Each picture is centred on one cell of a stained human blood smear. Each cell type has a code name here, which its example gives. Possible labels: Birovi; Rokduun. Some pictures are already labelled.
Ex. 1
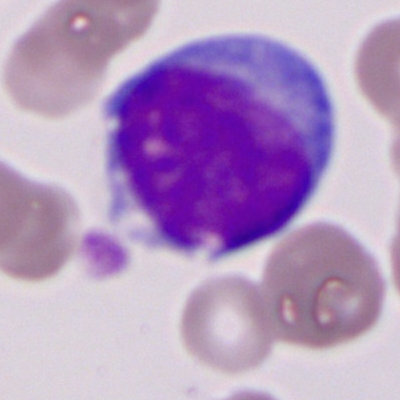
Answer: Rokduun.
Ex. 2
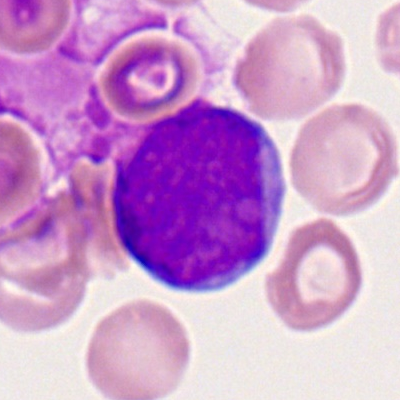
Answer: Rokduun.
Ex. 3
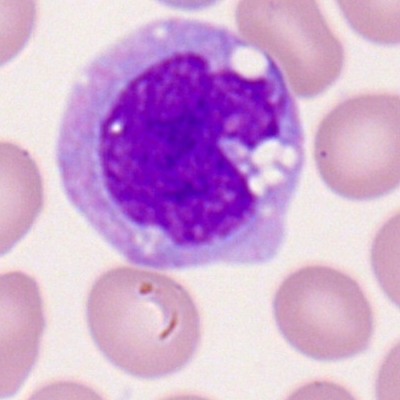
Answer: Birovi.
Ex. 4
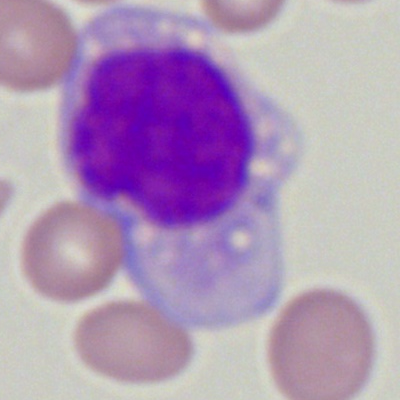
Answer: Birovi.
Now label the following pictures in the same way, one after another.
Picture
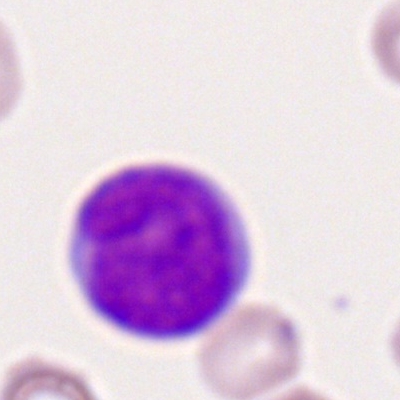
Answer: Rokduun.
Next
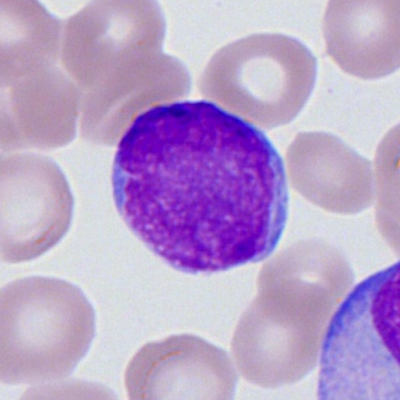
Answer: Rokduun.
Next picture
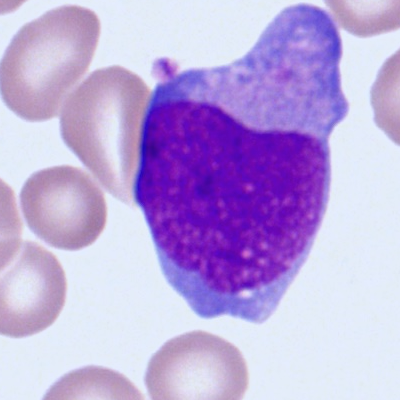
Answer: Rokduun.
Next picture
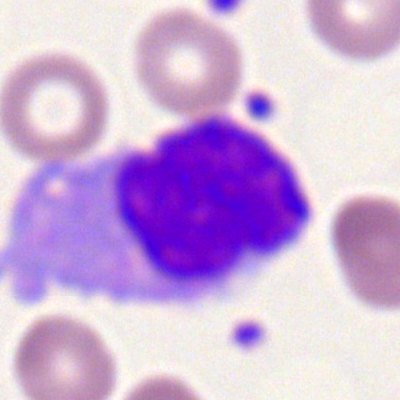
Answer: Birovi.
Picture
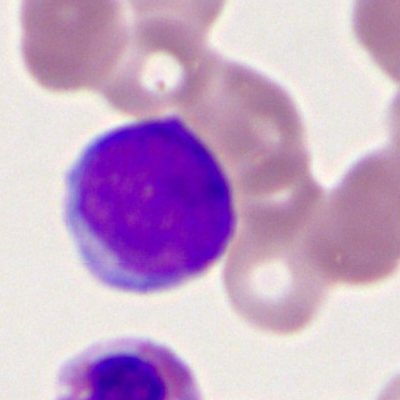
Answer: Rokduun.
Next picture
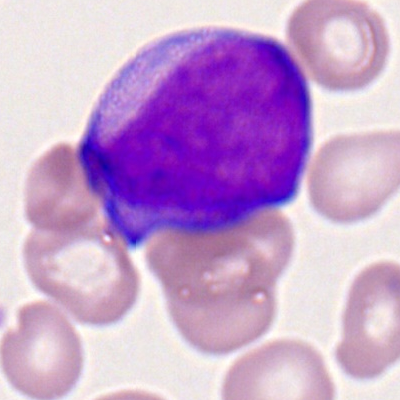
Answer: Rokduun.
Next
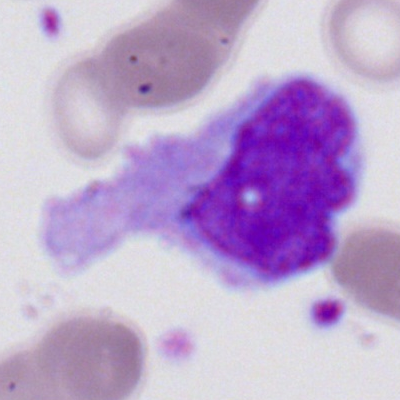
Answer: Birovi.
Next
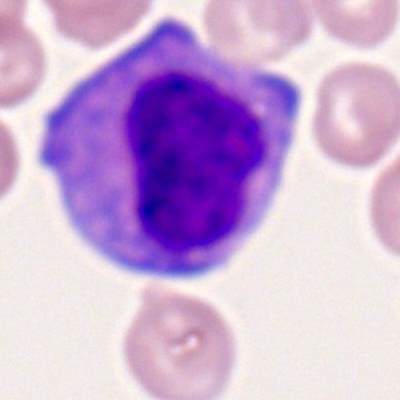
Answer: Rokduun.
